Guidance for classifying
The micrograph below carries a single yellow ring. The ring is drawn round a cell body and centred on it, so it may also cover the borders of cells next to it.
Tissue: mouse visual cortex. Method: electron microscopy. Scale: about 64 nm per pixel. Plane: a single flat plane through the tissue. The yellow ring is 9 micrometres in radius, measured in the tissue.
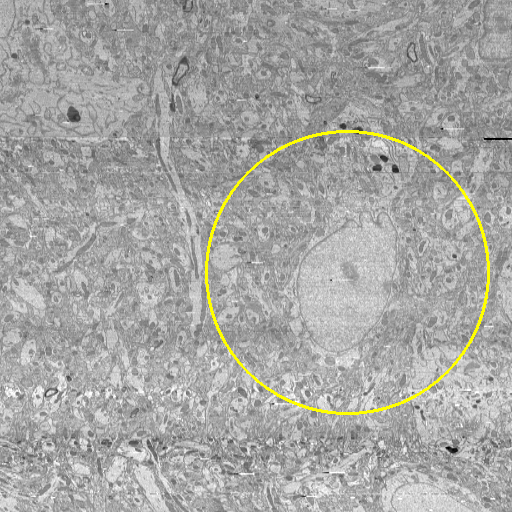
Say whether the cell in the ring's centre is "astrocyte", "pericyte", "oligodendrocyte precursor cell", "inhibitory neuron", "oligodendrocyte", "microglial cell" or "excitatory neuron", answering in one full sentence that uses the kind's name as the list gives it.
Within the yellow ring, an astrocyte is the cell whose body sits at the centre.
